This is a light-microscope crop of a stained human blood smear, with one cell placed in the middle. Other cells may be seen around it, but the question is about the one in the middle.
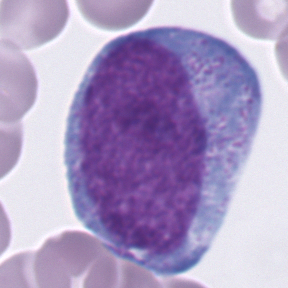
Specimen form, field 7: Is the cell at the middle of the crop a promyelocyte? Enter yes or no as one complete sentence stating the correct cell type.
Yes, it is a promyelocyte that is seen at the centre of the crop.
